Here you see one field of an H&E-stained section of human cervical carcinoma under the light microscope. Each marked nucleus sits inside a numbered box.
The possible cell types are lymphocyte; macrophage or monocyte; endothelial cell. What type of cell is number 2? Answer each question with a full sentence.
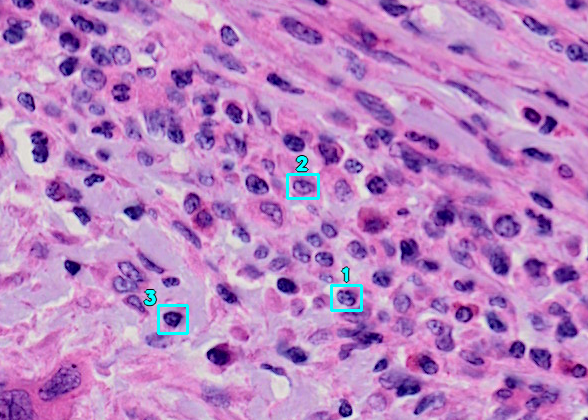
Number 2 is placed on a macrophage or monocyte here.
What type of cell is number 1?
Looking at the numbered marks, cell 1 is a lymphocyte.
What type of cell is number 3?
Cell 3 in the field of view is a lymphocyte.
